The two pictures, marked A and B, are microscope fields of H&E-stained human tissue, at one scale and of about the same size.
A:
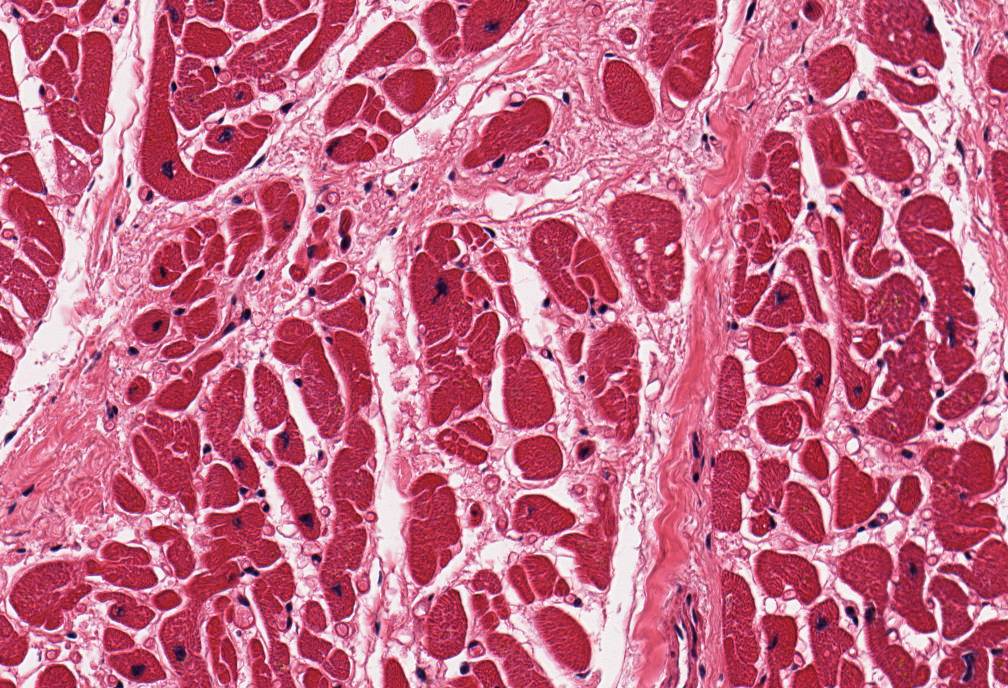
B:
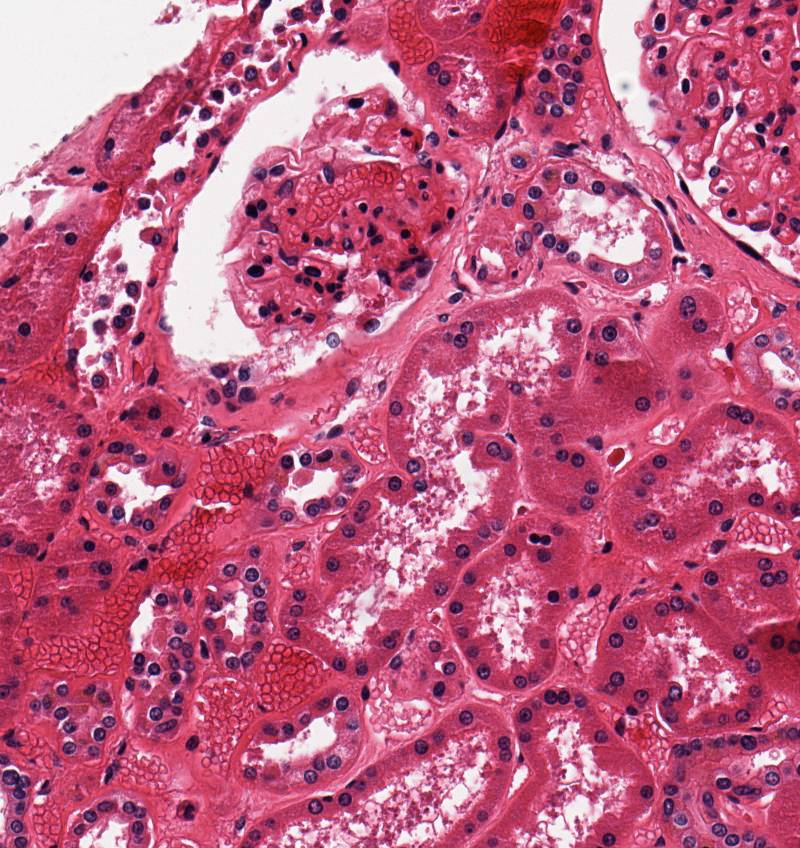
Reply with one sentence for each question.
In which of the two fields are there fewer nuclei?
There are fewer nuclei in picture A.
